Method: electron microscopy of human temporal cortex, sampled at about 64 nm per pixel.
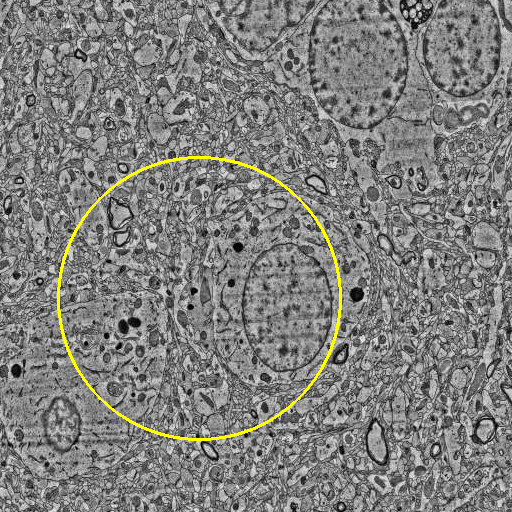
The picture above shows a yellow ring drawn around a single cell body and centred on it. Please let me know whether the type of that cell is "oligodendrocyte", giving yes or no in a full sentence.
Yes, that type fits the cell at the centre of the ring above.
